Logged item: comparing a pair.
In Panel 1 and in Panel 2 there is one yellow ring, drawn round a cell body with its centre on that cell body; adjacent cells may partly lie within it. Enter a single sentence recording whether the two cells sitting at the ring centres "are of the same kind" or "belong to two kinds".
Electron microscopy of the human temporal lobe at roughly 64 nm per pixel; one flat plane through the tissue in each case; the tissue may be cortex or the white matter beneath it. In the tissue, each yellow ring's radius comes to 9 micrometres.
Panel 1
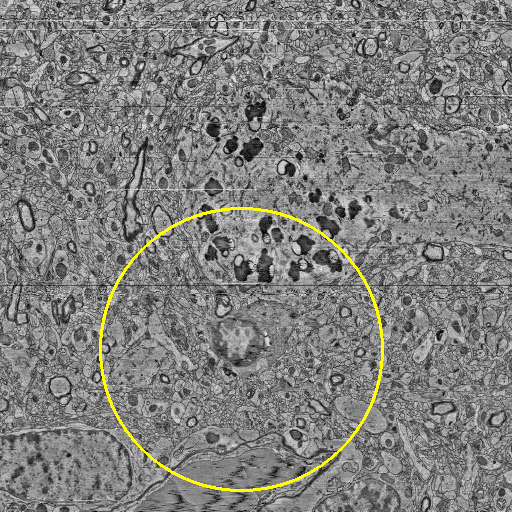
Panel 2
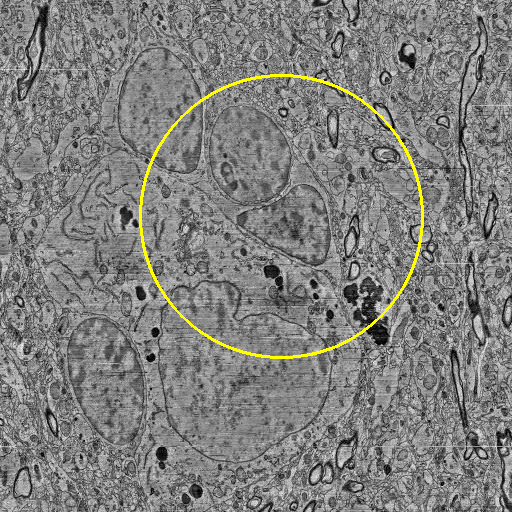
Logged: the cells centred in the rings of Panel 1 and Panel 2 belong to two kinds.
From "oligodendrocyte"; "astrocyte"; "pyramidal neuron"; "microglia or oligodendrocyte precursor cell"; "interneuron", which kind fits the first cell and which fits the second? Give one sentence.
The cell marked in the first picture is an oligodendrocyte, and the one marked in the second is a microglial cell or oligodendrocyte precursor cell.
